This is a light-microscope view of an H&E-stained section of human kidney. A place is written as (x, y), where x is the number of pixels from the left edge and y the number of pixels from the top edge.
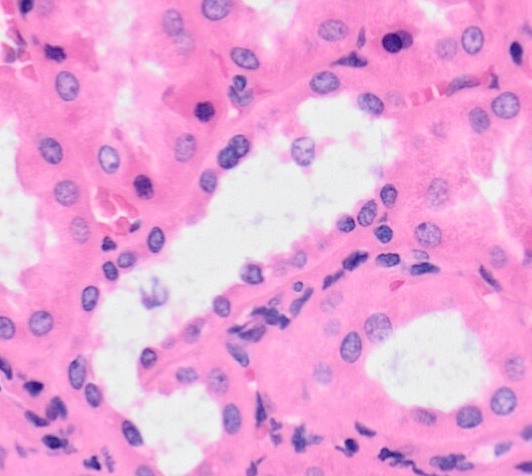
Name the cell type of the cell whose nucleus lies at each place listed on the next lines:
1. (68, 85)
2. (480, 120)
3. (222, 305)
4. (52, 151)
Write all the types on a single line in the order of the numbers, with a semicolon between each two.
proximal tubule cell; proximal tubule cell; loop of Henle or distal tubule cell; proximal tubule cell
